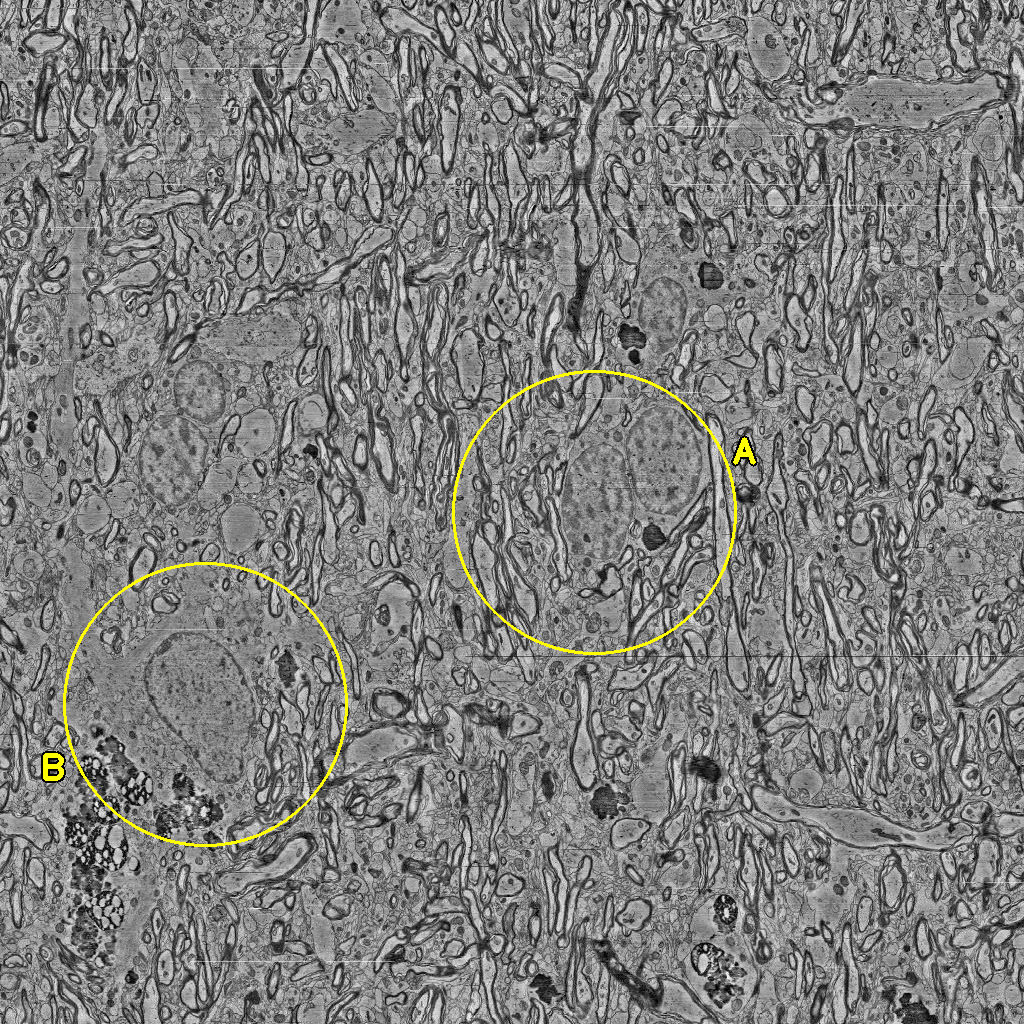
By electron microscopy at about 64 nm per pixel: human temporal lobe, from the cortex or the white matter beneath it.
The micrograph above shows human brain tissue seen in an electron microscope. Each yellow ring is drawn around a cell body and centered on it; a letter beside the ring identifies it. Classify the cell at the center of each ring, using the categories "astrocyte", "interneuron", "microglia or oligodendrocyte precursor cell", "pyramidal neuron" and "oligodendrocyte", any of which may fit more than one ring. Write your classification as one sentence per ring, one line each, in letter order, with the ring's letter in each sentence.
Ring A is centered on an oligodendrocyte.
Ring B is centered on an astrocyte.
